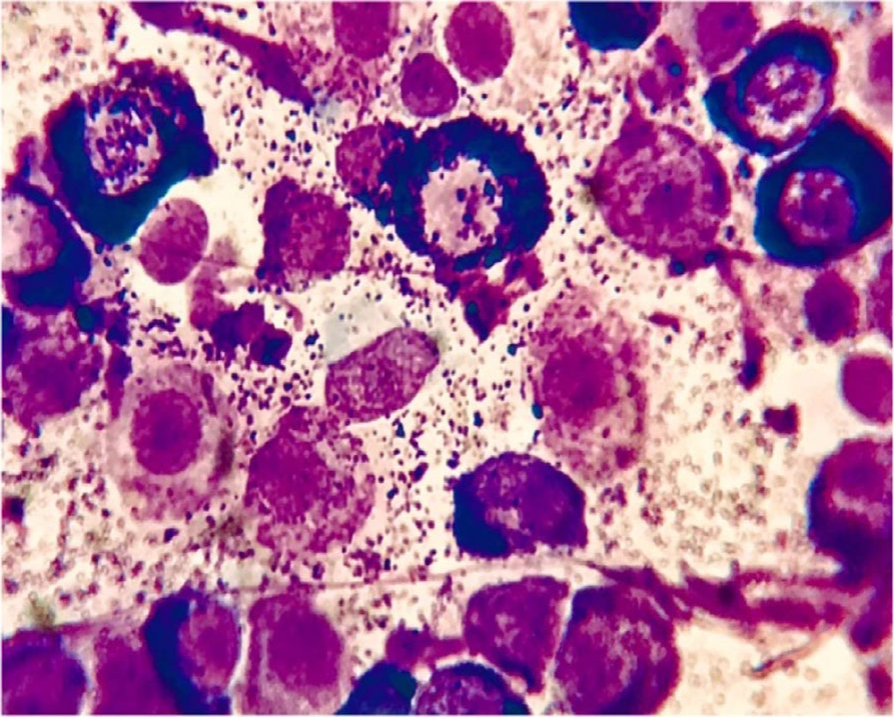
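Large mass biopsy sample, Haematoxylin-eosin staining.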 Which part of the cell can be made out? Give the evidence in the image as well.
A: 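Intracytoplasmic granules. Small dark purple dots within the cytoplasm of the round cells. In some cells the granules are so dense that the cytoplasm looks dark blue-black around the nucleus.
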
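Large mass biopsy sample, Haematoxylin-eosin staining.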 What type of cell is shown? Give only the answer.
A: Mast cells.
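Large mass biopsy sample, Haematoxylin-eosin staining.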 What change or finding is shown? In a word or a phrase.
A: Anisocytosis and anisokaryosis.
